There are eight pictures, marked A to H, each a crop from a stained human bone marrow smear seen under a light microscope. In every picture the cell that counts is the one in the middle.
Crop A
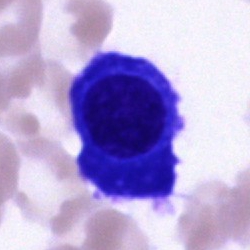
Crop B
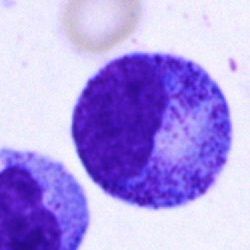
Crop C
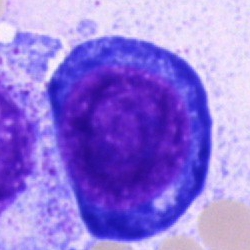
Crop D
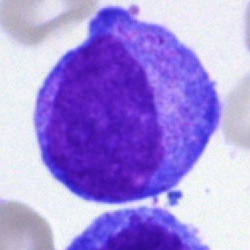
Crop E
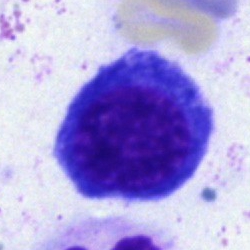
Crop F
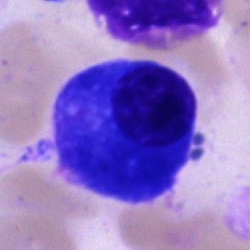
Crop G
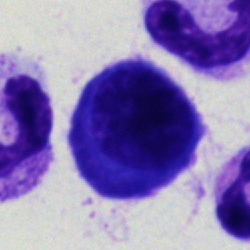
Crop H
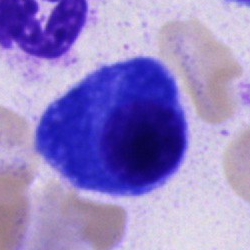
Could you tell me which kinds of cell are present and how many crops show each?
plasma cell: 4
promyelocyte: 2
proerythroblast: 2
